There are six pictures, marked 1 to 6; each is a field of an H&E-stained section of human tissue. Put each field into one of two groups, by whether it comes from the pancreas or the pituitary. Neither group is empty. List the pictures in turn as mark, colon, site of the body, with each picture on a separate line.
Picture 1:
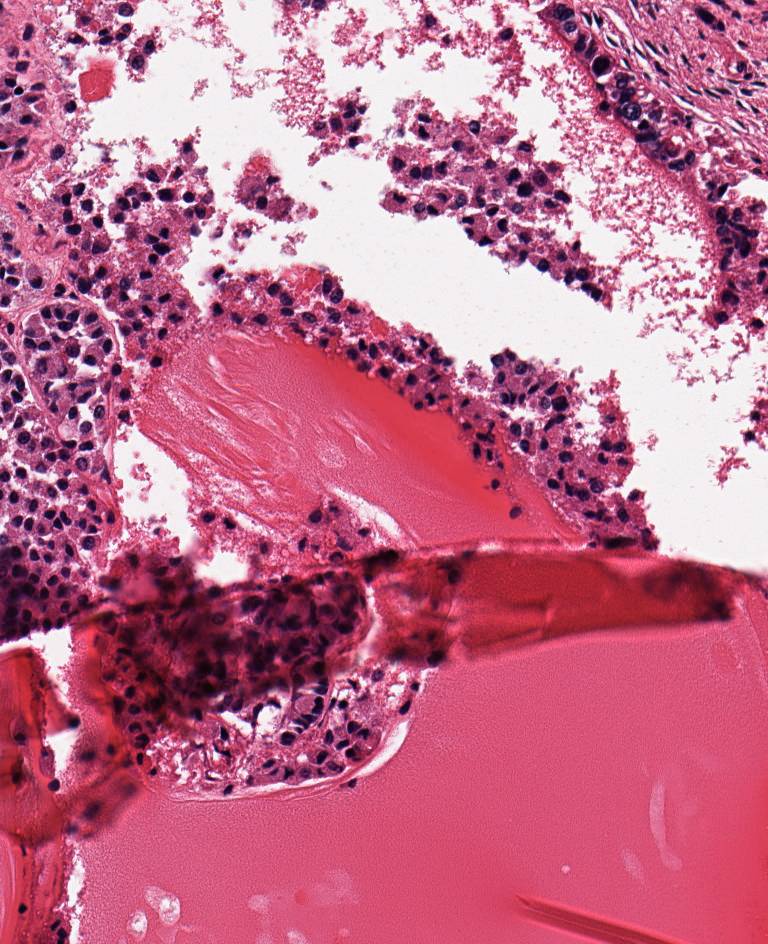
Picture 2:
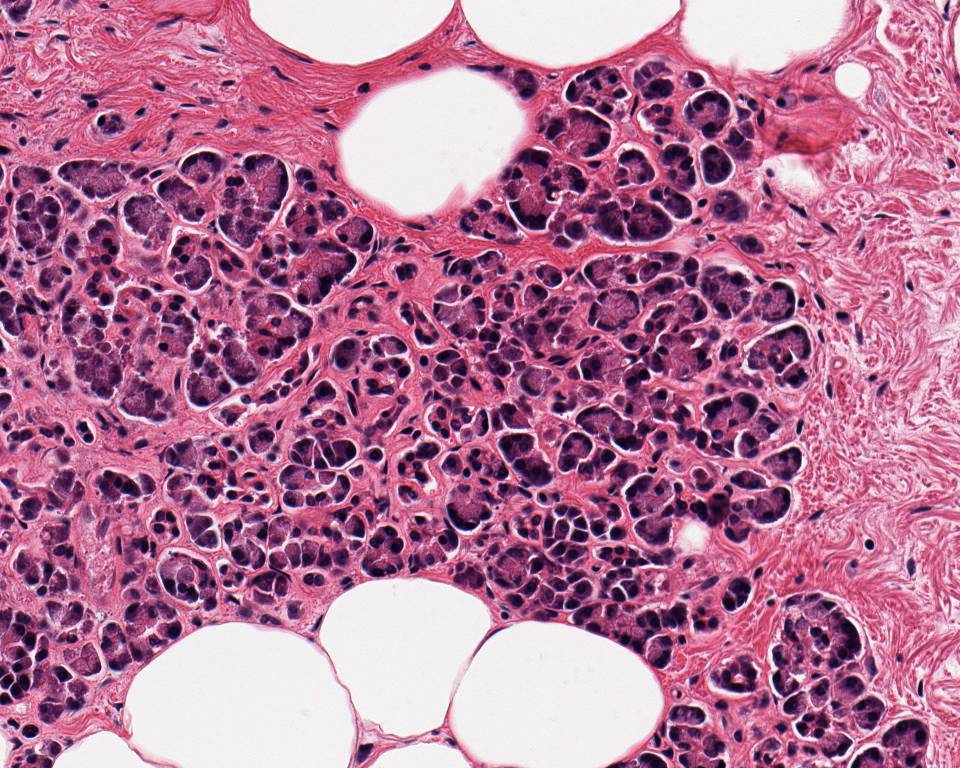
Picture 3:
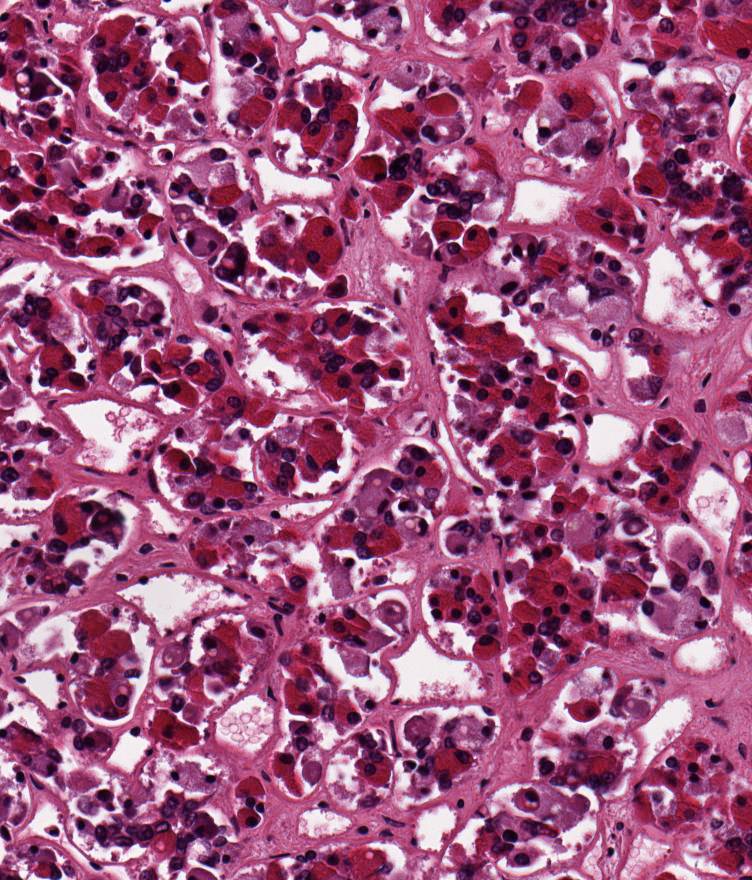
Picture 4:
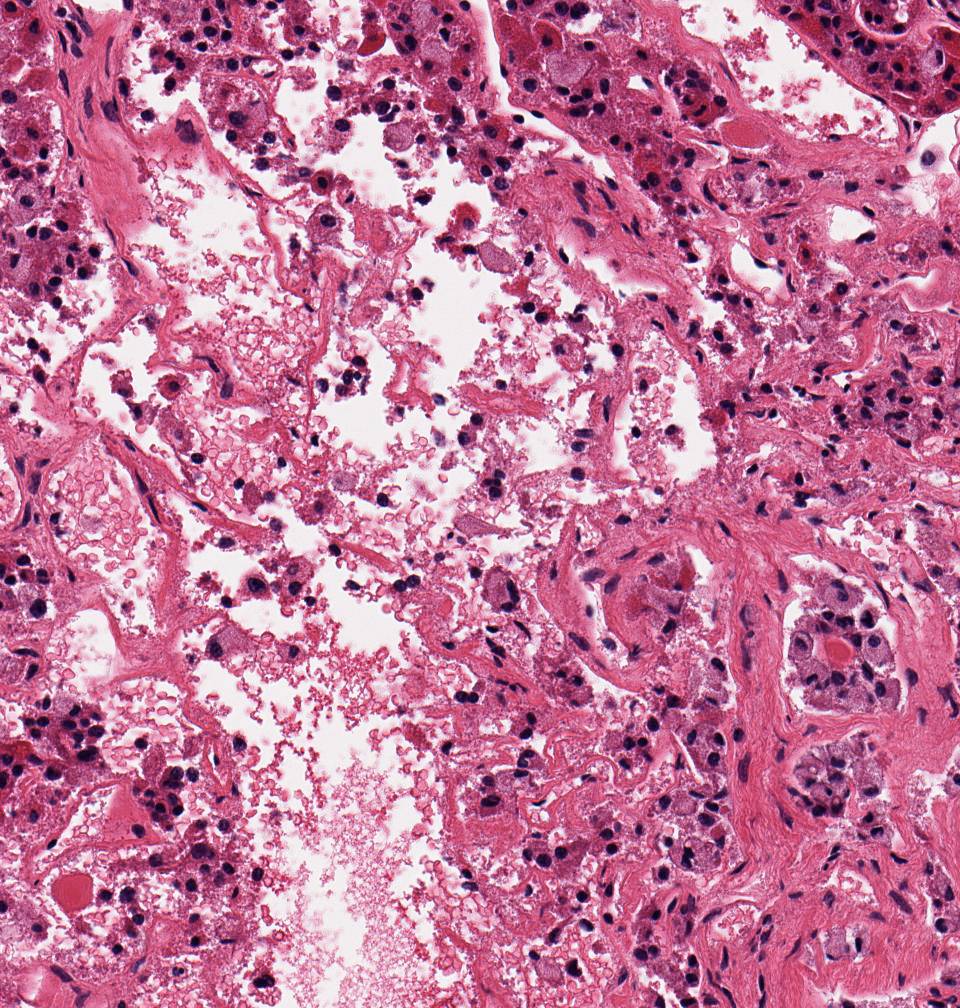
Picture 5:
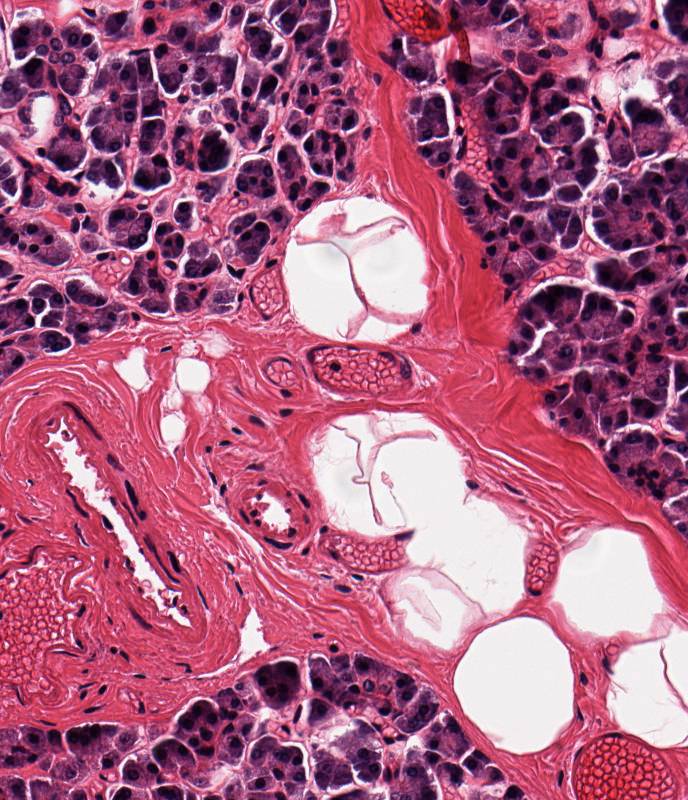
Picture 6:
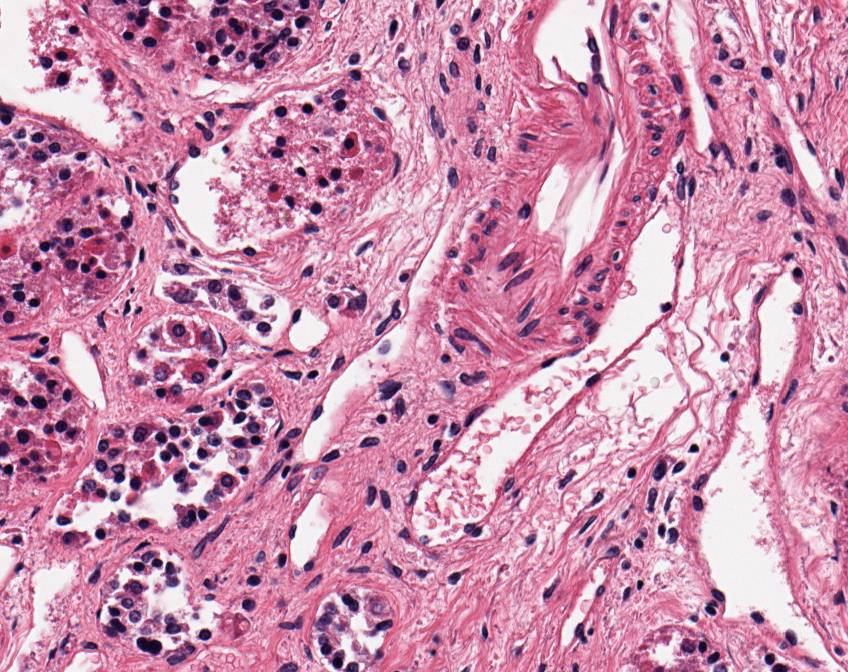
1: pituitary
2: pancreas
3: pituitary
4: pituitary
5: pancreas
6: pituitary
